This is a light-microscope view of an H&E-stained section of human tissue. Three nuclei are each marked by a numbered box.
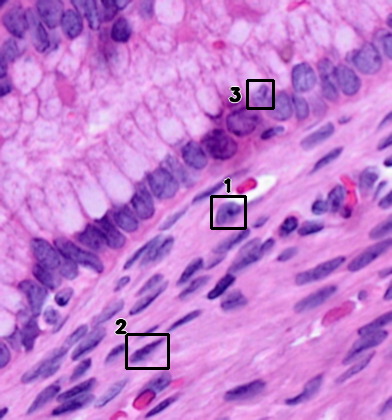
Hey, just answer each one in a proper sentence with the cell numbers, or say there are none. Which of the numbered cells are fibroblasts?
Only cell 2 should be marked as a fibroblast.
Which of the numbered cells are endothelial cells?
Being an endothelial cell is true of cell 1 and of no other numbered cell.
